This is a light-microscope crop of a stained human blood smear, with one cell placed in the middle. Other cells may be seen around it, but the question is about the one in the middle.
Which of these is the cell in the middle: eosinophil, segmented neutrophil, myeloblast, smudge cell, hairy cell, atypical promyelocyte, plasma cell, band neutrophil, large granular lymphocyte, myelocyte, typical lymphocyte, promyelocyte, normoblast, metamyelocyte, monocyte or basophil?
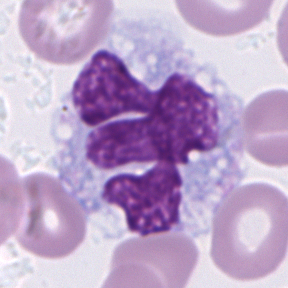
monocyte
